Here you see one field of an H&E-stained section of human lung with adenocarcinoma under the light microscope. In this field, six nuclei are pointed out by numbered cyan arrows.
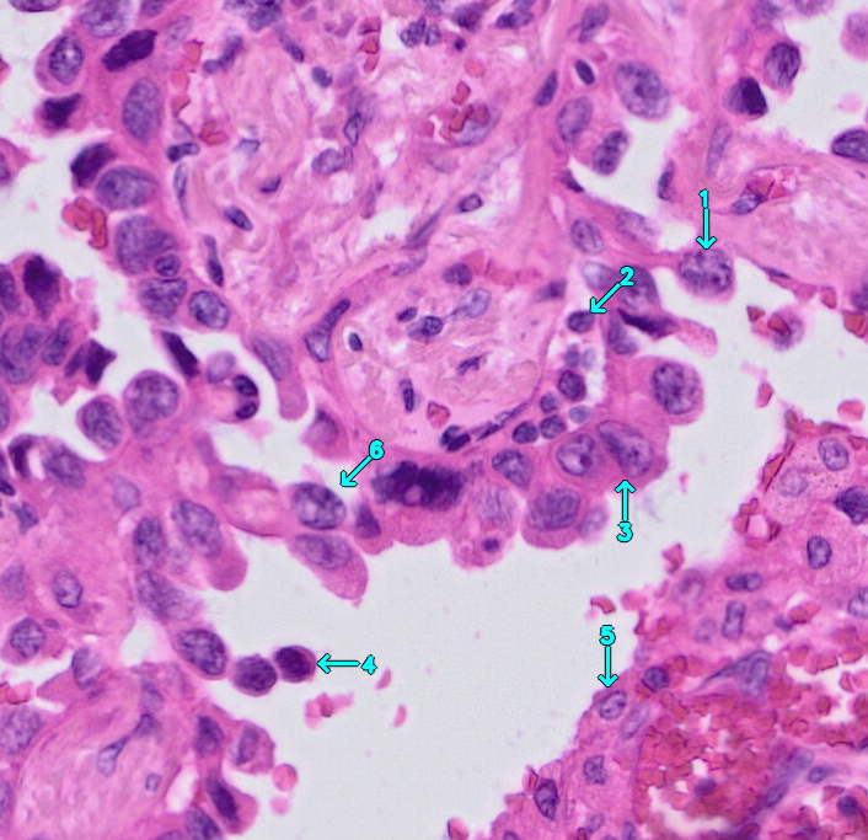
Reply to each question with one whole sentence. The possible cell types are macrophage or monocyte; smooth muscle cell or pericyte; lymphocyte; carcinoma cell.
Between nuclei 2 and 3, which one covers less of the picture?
Nucleus 2 covers less area, with nucleus 3 about 3 times as large.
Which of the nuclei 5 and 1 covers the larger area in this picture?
Number 1 is larger; its area is about 2.5 times that of number 5.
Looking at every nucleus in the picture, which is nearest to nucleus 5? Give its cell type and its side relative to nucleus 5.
The closest nucleus belongs to a macrophage or monocyte and sits below and to the right of nucleus 5.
